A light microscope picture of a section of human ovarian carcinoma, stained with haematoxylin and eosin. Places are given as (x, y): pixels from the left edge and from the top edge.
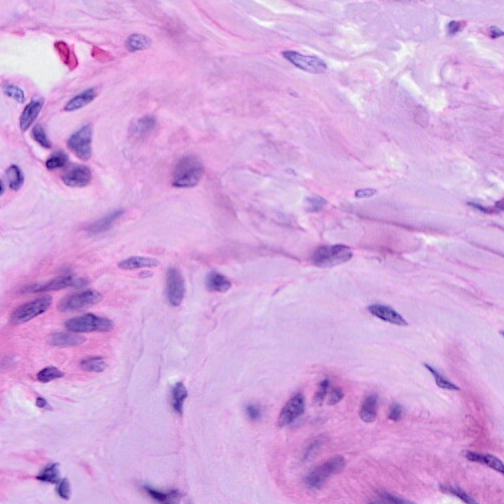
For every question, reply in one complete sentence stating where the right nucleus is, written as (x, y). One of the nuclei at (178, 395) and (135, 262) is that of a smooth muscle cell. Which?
Of the two nuclei, the one sitting at (135, 262) belongs to a smooth muscle cell.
